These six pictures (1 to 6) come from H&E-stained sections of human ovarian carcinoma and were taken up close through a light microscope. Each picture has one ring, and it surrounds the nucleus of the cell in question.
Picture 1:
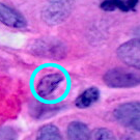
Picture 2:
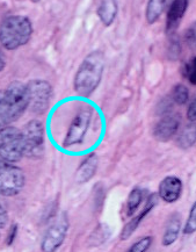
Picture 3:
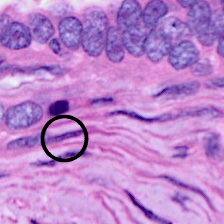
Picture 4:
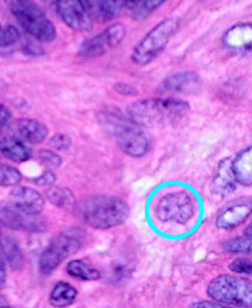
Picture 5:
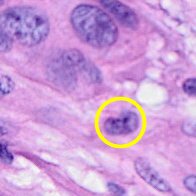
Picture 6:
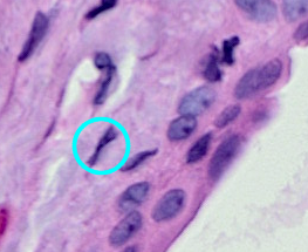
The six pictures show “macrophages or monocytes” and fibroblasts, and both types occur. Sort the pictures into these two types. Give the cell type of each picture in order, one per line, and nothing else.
macrophage or monocyte
fibroblast
fibroblast
fibroblast
macrophage or monocyte
fibroblast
